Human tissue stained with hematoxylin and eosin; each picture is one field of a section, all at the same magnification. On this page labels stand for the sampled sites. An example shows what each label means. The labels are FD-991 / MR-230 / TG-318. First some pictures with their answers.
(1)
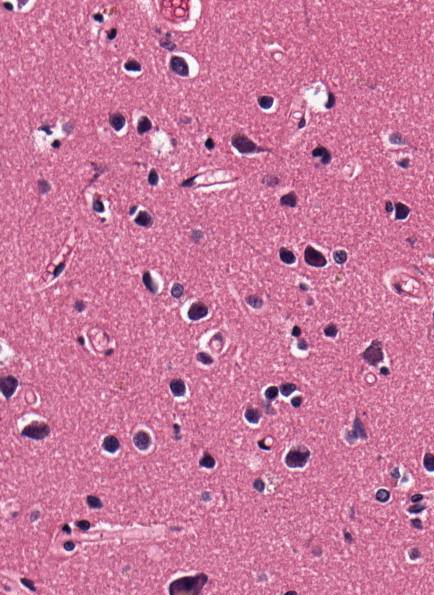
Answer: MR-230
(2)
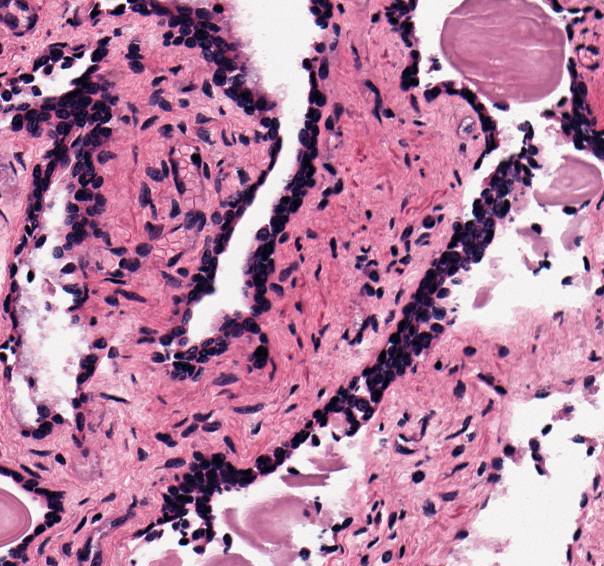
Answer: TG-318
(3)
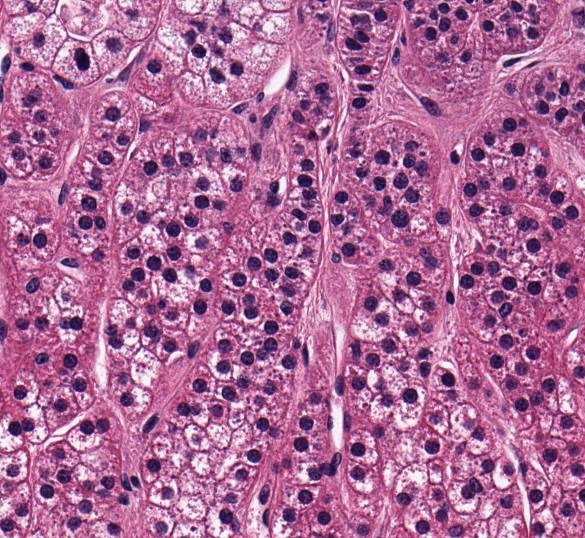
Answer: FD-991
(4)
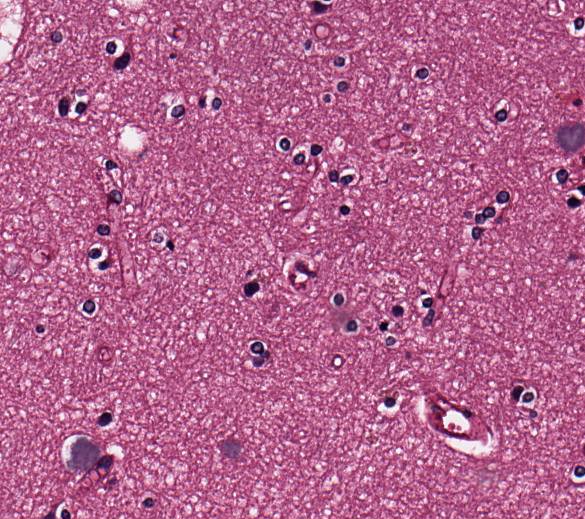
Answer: MR-230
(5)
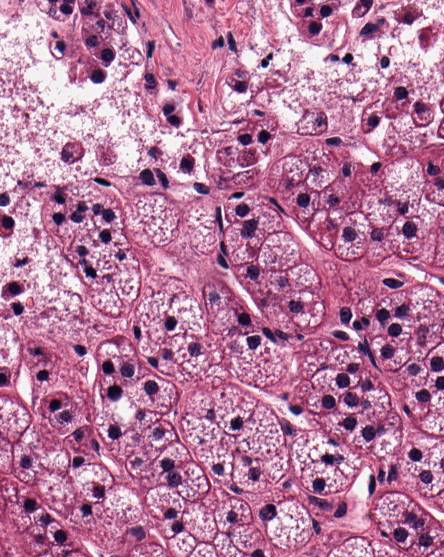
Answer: FD-991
